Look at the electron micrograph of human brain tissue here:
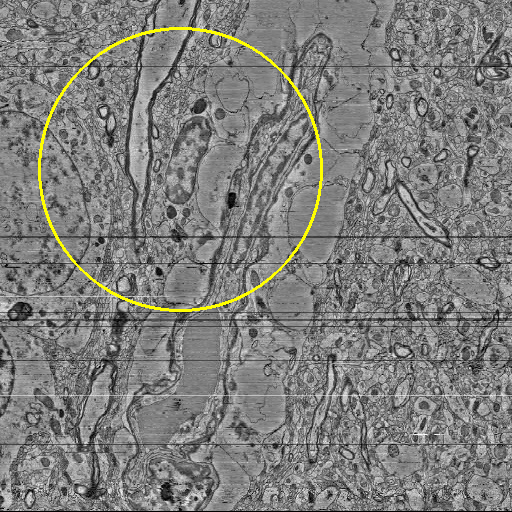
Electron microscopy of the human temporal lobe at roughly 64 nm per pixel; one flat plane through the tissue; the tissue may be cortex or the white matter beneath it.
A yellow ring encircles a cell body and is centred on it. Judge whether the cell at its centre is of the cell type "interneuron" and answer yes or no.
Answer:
no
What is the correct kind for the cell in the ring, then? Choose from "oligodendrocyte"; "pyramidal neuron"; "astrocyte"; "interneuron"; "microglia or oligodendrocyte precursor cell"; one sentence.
The cell shown in the ring is a microglial cell or oligodendrocyte precursor cell.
